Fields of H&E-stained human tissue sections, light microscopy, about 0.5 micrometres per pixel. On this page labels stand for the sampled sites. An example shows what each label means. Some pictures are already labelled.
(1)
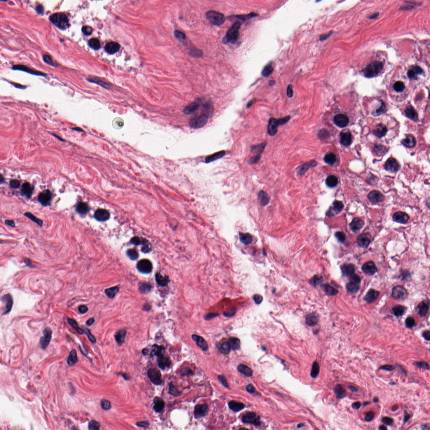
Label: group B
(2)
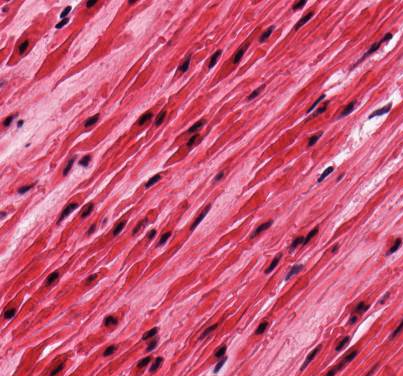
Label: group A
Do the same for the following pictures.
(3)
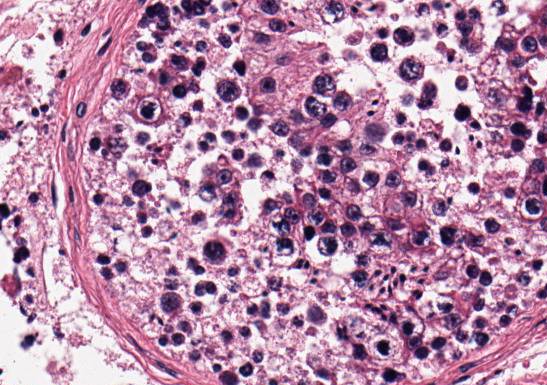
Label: group B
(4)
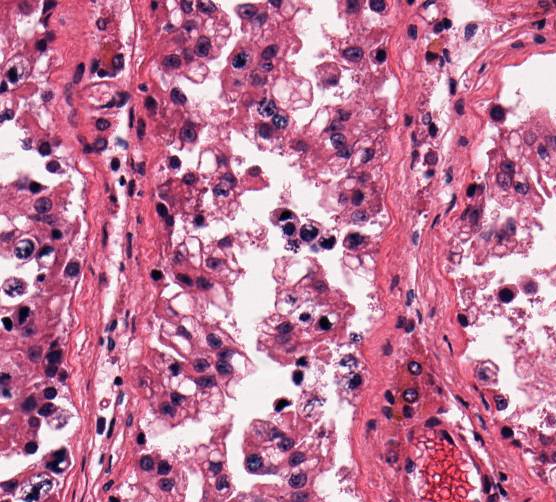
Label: group B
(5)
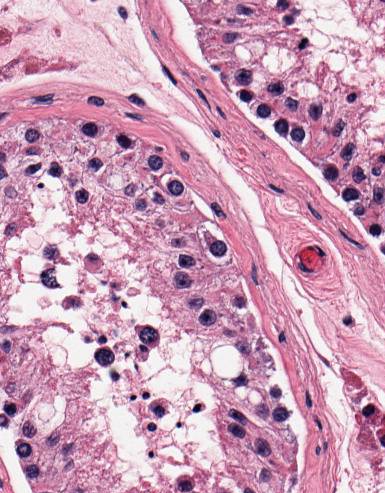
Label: group B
